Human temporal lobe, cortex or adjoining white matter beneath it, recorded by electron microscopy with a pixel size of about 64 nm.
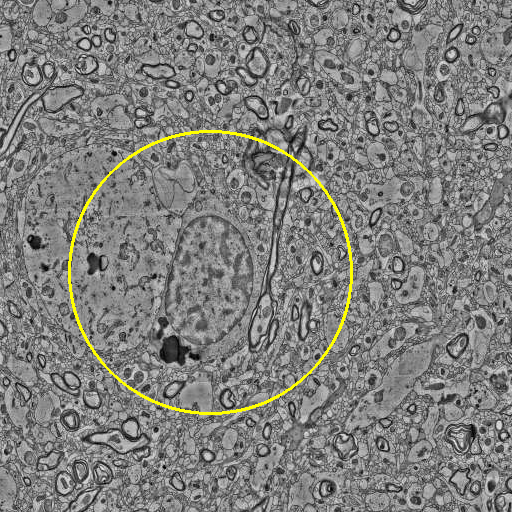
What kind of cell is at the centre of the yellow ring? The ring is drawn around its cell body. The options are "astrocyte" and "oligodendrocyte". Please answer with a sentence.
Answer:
The yellow ring marks the cell body of an oligodendrocyte.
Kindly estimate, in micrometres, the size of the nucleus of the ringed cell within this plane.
In this plane the nucleus measures roughly 8 by 6 micrometers.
